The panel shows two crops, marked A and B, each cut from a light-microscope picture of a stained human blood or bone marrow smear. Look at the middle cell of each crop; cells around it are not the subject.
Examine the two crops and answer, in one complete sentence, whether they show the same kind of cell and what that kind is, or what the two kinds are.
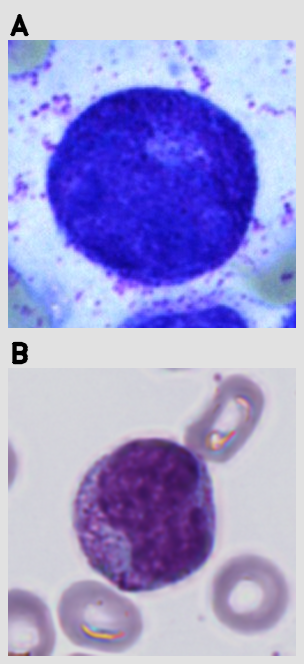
No: a promyelocyte sits in crop A, and a myelocyte sits in crop B.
